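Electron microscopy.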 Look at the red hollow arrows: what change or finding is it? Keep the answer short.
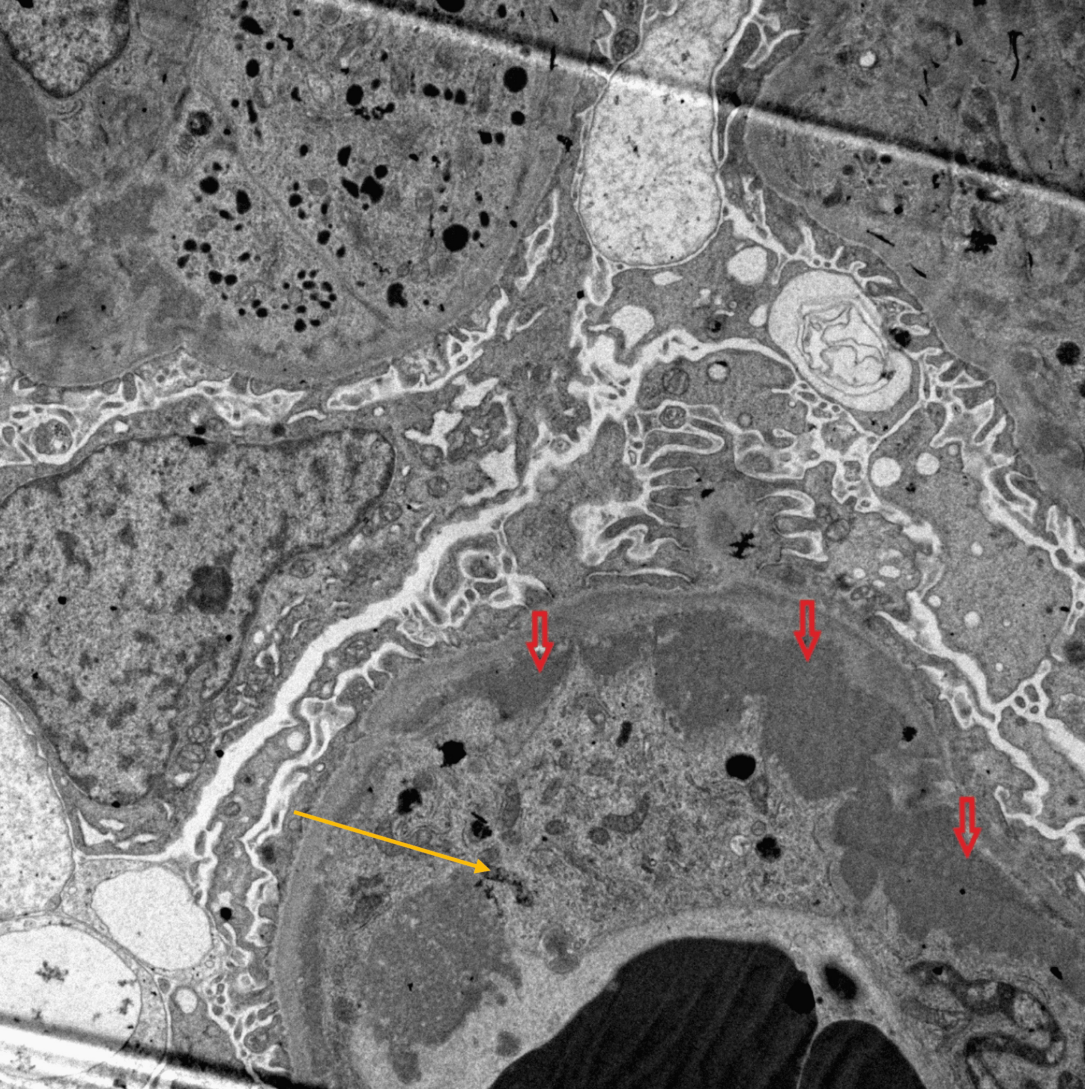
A: Subendothelial deposits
